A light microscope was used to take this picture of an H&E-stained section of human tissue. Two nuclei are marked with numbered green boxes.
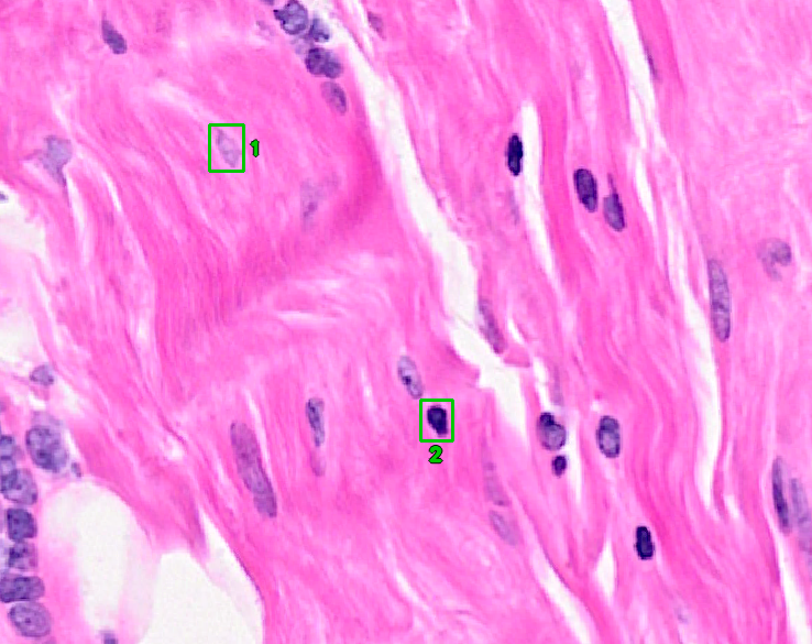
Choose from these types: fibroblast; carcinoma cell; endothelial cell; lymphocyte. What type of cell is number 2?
lymphocyte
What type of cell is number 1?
fibroblast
